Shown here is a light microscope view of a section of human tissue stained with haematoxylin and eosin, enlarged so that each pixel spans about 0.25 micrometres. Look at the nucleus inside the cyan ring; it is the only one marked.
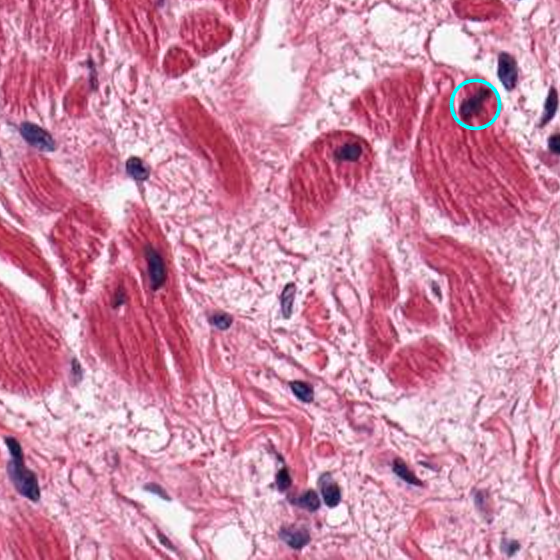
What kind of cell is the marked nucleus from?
cardiomyocyte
